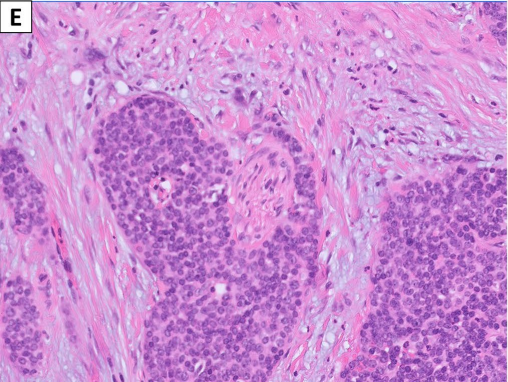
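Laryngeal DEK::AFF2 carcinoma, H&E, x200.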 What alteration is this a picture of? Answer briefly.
Perineural invasion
